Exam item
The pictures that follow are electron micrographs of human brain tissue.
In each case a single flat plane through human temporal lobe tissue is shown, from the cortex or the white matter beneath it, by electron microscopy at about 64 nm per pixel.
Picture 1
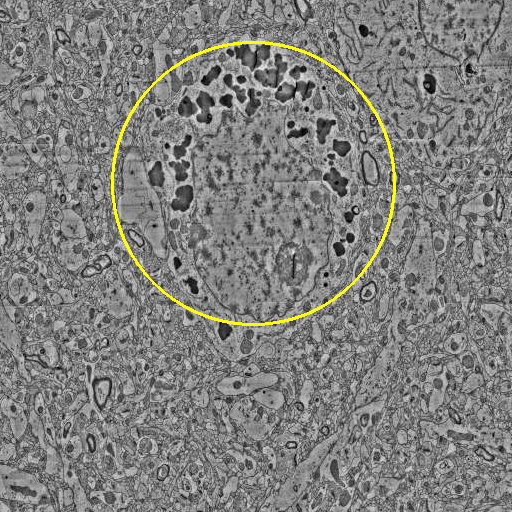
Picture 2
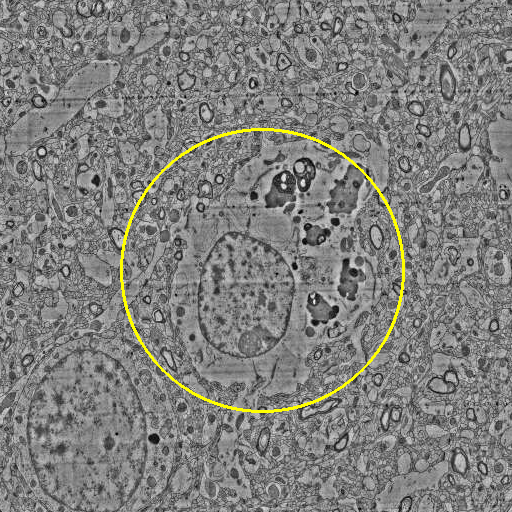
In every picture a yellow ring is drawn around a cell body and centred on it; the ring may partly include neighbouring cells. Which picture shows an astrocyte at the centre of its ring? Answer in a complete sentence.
The cell at the centre of the ring in Picture 2 is the one asked for.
